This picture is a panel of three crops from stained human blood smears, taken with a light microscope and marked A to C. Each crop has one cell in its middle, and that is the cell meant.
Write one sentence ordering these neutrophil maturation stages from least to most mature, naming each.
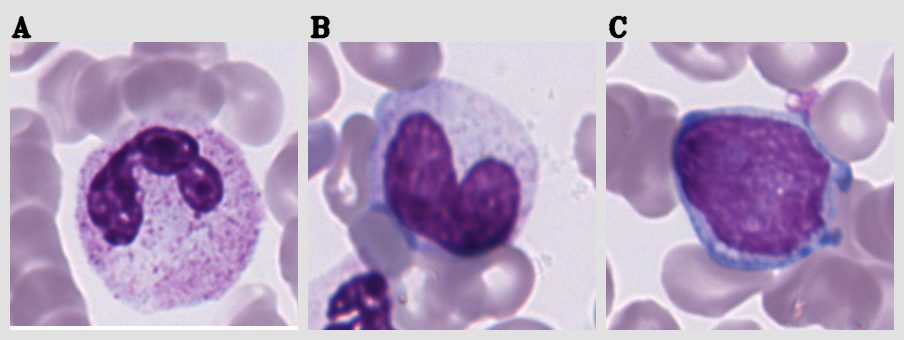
Taken from least mature to most mature, the crops are crop C (a blast), crop B (a metamyelocyte) and crop A (a segmented neutrophil).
